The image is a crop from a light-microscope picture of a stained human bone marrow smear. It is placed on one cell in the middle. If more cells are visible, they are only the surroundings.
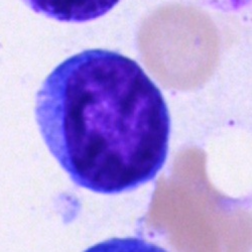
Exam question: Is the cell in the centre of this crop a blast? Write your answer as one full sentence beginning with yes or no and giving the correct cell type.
Yes, the cell in the centre is a blast.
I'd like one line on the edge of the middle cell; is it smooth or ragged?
Smooth all around, the outline has no projections to report.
